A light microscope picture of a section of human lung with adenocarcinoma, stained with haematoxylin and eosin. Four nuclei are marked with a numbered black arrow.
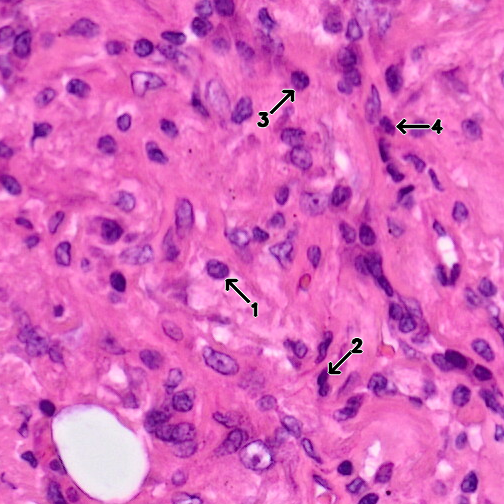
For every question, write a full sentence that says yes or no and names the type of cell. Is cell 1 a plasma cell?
No, cell number 1 is identified as a lymphocyte, not as a plasma cell.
